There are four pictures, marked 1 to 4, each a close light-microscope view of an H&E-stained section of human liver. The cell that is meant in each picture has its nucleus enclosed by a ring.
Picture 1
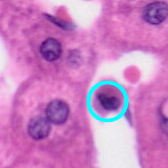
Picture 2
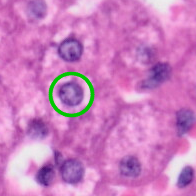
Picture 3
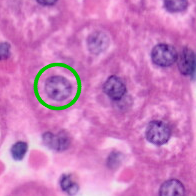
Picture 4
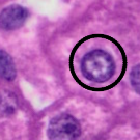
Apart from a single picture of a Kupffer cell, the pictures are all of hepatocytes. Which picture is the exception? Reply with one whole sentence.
The Kupffer cell is the one in picture 1.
